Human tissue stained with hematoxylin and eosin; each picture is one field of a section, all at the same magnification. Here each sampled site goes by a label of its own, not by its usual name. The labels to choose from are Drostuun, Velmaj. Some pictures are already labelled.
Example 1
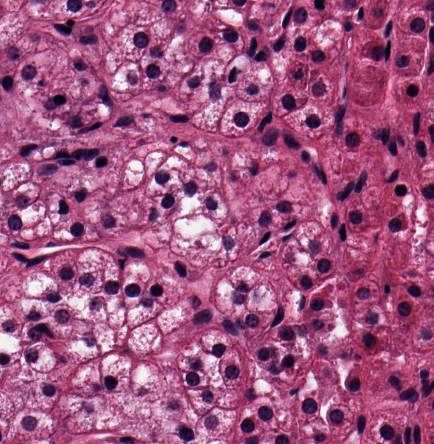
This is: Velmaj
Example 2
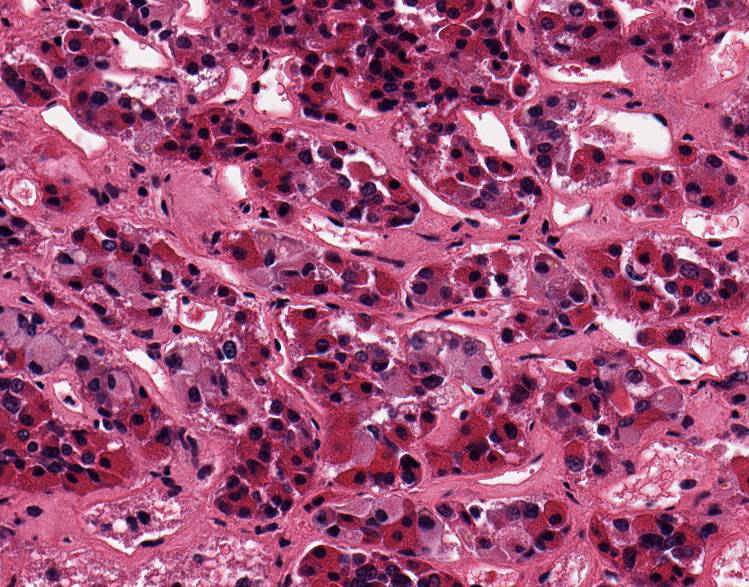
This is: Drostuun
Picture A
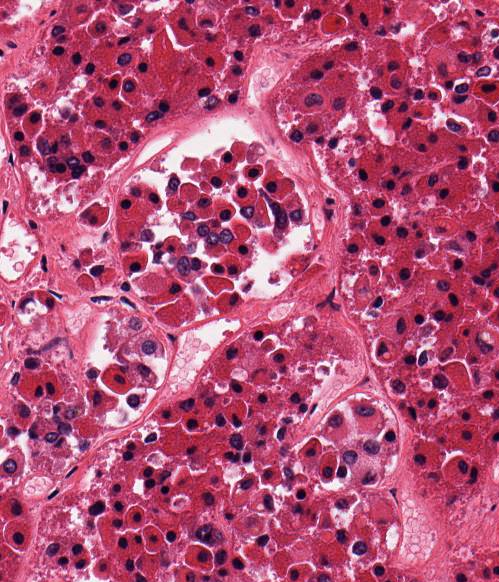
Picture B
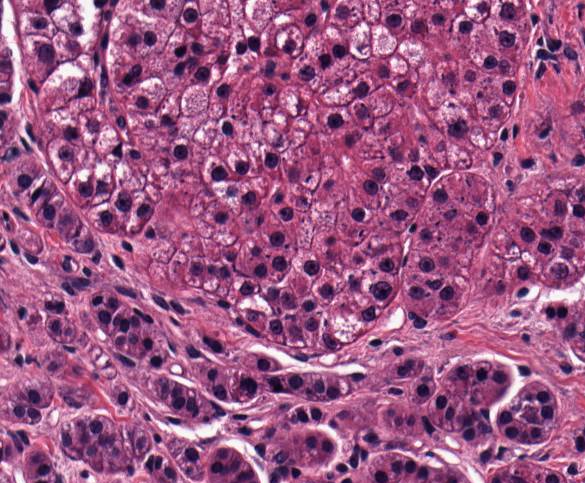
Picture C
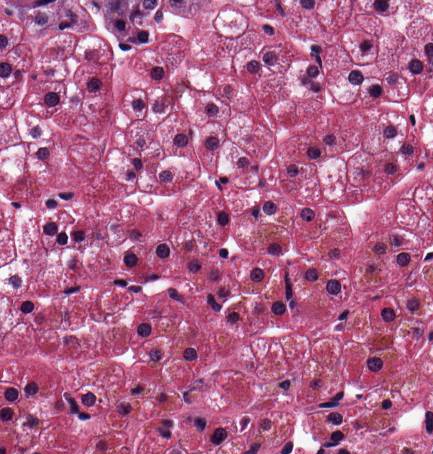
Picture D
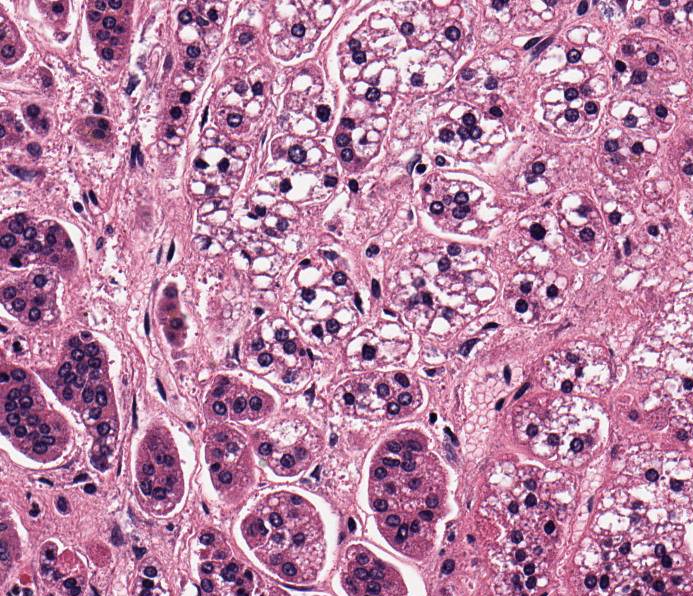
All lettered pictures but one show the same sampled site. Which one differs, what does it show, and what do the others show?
A (Drostuun) is the exception; every other picture is Velmaj.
